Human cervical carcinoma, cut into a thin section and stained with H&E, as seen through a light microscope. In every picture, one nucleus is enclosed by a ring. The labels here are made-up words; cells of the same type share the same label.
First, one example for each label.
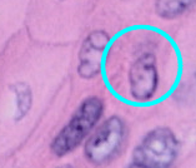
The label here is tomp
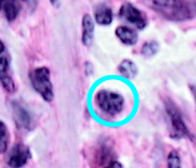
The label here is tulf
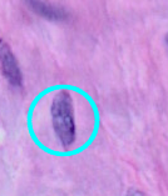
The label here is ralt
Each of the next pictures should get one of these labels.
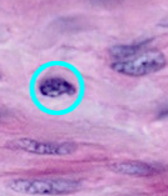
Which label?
tulf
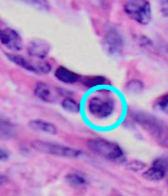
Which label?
tulf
